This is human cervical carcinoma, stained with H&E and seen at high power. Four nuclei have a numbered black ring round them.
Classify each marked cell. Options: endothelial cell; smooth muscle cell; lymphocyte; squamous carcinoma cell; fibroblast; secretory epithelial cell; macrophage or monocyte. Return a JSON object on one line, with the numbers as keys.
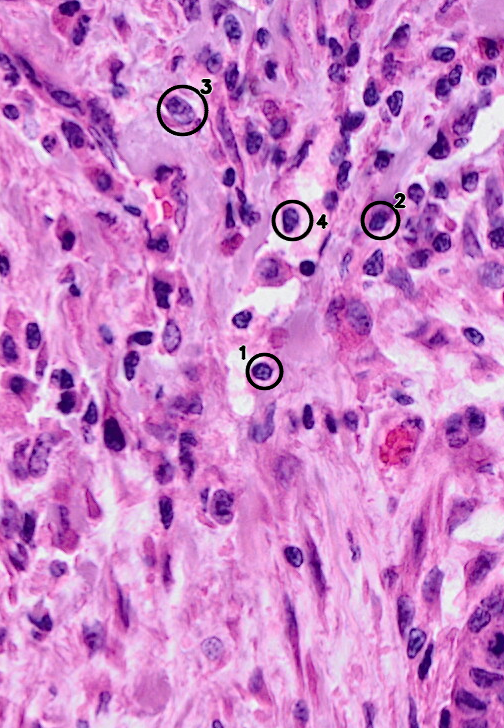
{"1": "lymphocyte", "2": "lymphocyte", "3": "macrophage or monocyte", "4": "lymphocyte"}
